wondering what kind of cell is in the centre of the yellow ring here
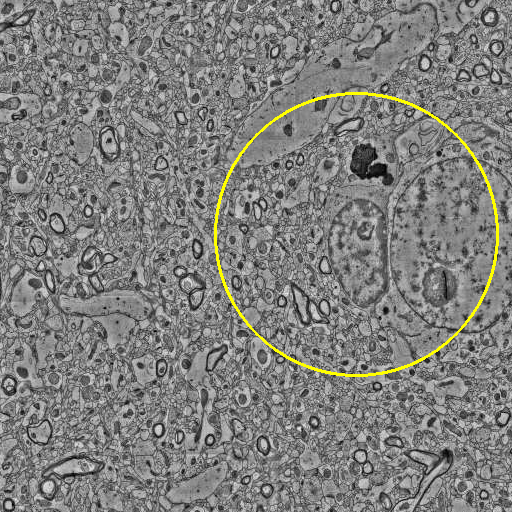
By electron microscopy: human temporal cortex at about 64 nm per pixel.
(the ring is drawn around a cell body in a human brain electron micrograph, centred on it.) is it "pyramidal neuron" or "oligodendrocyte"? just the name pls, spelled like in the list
oligodendrocyte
